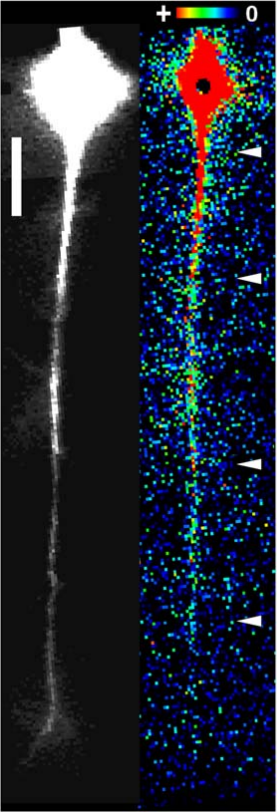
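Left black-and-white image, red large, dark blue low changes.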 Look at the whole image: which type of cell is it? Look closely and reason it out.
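A large, roughly triangular cell body at the top. A single thick dendrite runs straight down from the apex of the cell body and tapers.
Answer: pyramidal cells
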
